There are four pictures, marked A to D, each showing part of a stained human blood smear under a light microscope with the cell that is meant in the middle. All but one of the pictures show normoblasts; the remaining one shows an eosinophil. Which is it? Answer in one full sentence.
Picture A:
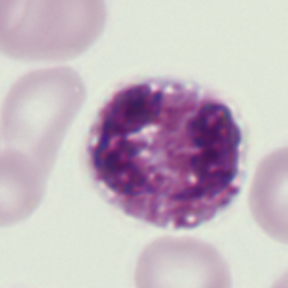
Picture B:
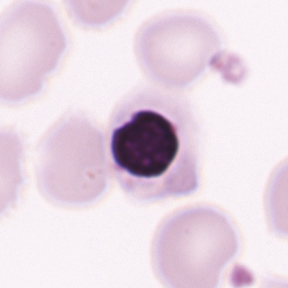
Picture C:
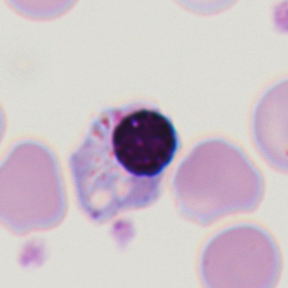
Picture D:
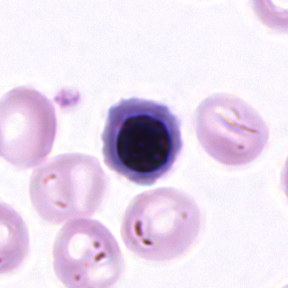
The picture with the eosinophil is A.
